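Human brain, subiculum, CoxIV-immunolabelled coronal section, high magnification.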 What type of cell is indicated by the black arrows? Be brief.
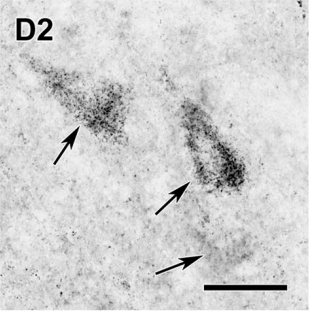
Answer: neurons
